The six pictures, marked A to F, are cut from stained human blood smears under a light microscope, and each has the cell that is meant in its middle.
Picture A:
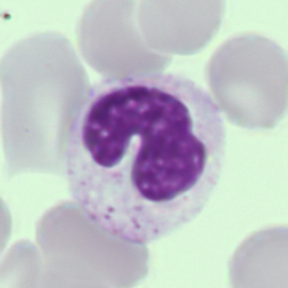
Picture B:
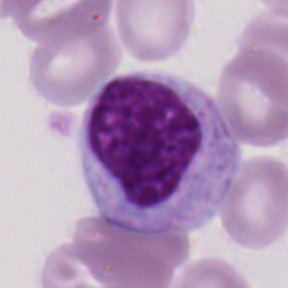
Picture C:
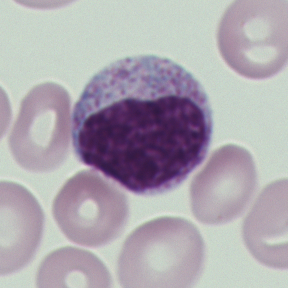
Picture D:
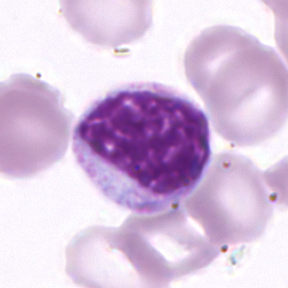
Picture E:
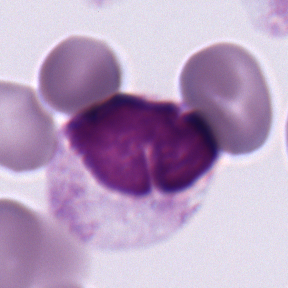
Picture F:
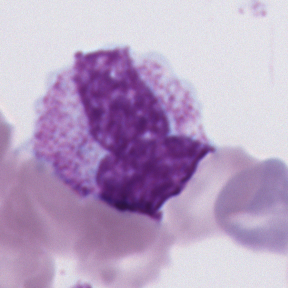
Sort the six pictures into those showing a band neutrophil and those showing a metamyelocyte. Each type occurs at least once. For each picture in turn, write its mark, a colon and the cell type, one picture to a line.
A: band neutrophil
B: metamyelocyte
C: metamyelocyte
D: metamyelocyte
E: band neutrophil
F: band neutrophil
